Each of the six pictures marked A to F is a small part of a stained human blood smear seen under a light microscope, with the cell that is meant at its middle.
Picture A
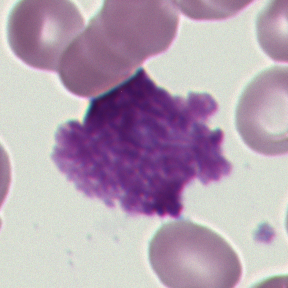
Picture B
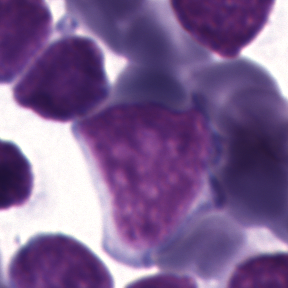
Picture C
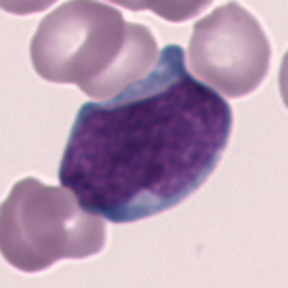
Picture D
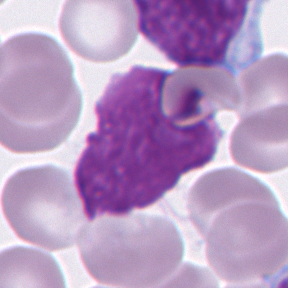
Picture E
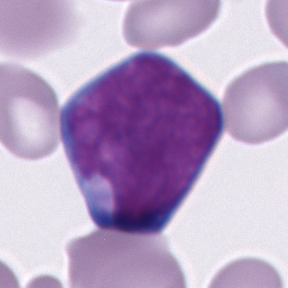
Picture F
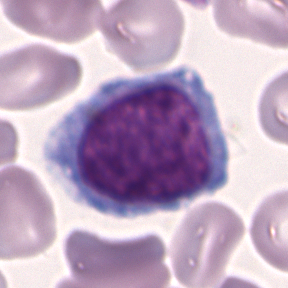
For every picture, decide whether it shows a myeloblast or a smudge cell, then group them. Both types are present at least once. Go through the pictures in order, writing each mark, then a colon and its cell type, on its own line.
A: smudge cell
B: myeloblast
C: myeloblast
D: smudge cell
E: myeloblast
F: myeloblast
